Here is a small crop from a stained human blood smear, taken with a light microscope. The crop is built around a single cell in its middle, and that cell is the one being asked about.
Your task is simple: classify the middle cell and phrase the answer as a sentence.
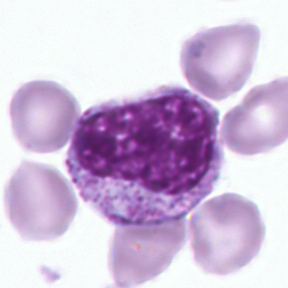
The cell of interest, located centrally, is a metamyelocyte.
